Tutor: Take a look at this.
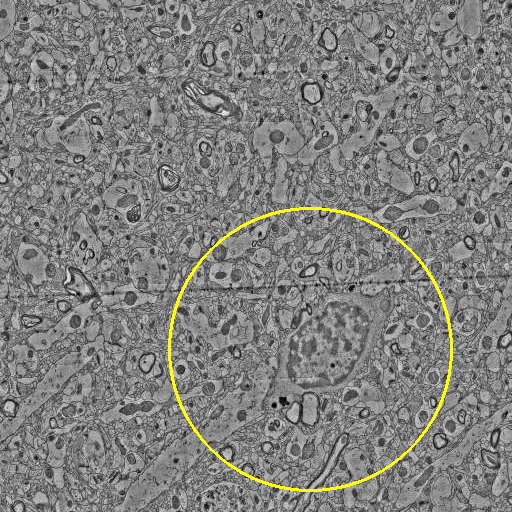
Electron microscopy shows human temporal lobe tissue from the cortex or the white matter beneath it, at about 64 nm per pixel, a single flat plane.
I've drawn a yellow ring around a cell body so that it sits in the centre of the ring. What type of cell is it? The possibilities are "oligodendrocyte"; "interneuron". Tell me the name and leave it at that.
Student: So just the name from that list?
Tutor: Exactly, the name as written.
oligodendrocyte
